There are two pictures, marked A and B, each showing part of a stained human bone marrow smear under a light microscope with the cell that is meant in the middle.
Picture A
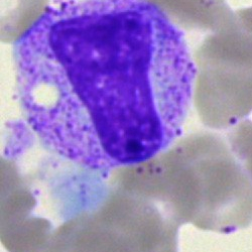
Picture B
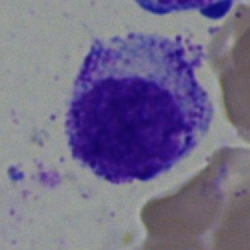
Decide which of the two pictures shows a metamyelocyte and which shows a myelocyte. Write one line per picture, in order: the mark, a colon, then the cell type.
A: metamyelocyte
B: myelocyte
